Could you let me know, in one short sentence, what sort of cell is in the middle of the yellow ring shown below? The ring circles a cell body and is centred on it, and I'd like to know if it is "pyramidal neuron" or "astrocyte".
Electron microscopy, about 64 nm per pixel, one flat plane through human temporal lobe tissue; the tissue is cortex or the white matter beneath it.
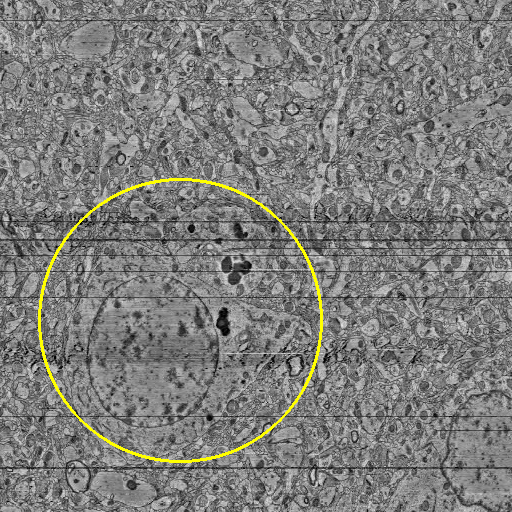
The ring circles the cell body of a pyramidal neuron.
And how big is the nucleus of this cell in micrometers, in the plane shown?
The ringed cell's nucleus measures approximately 10 by 9 micrometres in this plane.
